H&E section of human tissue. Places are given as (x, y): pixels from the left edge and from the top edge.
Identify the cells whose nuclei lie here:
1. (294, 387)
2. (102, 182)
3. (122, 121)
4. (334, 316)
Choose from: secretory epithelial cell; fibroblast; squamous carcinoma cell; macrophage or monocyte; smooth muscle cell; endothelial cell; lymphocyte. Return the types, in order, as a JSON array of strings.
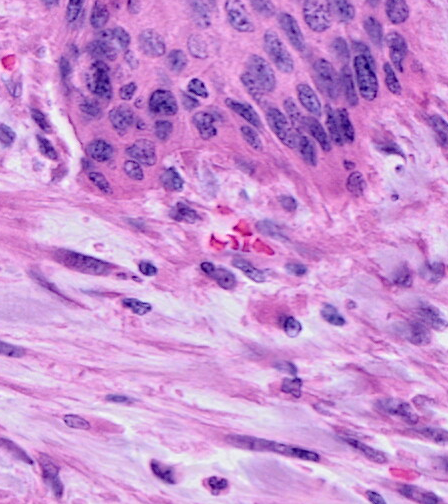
["macrophage or monocyte", "squamous carcinoma cell", "squamous carcinoma cell", "lymphocyte"]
